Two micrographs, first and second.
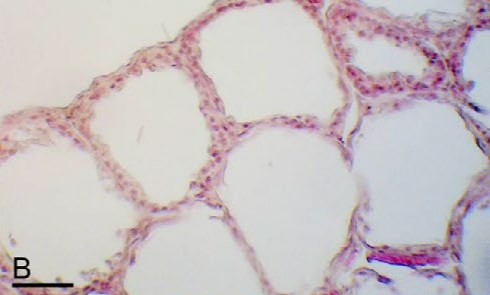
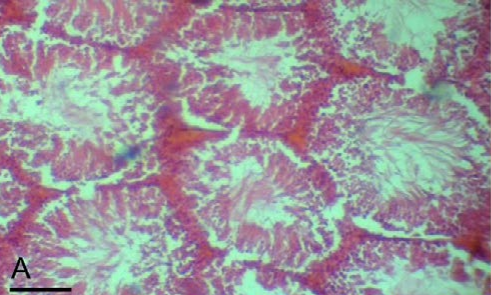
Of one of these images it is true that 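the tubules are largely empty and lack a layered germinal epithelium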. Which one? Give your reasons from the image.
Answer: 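First image: tubules have thin walls of one or two cell layers around empty lumens. Second image: tubules have a thick, many-layered epithelium of packed nuclei.
The first image.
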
